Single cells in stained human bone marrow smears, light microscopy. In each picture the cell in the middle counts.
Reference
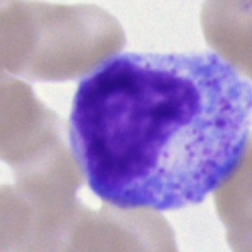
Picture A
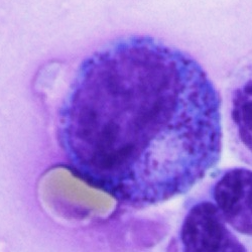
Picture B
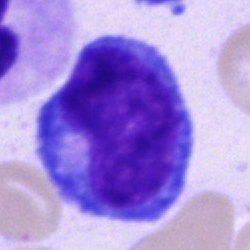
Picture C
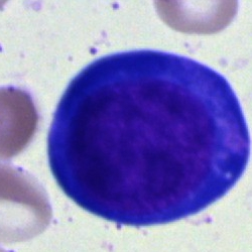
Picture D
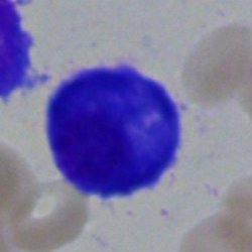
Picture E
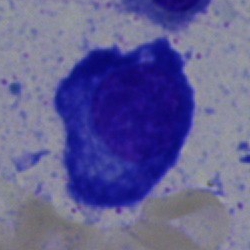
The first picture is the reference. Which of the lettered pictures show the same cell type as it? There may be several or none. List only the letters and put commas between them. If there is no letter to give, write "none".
A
